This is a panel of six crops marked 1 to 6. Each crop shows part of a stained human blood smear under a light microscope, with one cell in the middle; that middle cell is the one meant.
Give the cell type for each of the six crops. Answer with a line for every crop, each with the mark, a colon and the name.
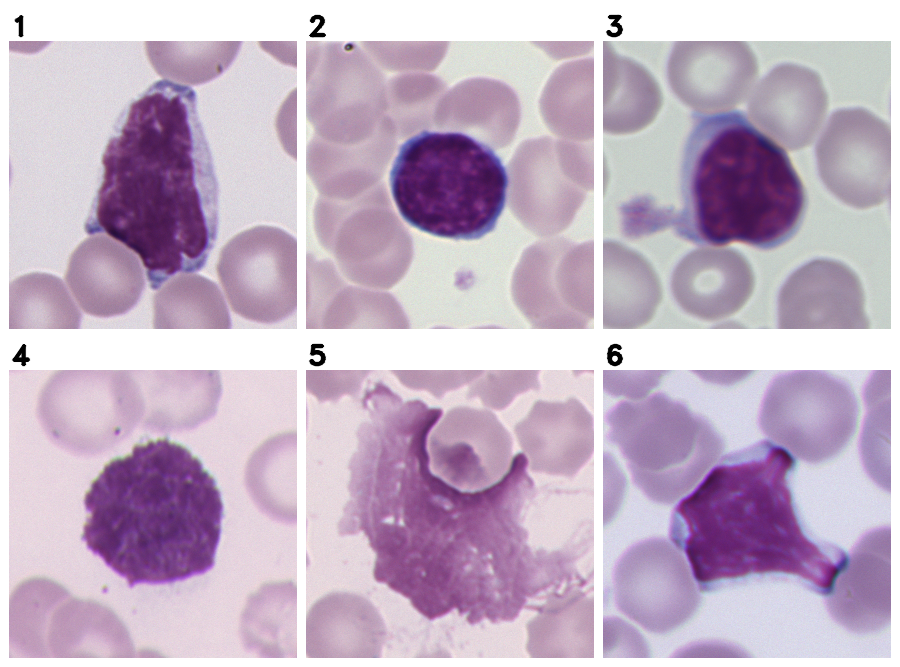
1: typical lymphocyte
2: typical lymphocyte
3: typical lymphocyte
4: smudge cell
5: smudge cell
6: typical lymphocyte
